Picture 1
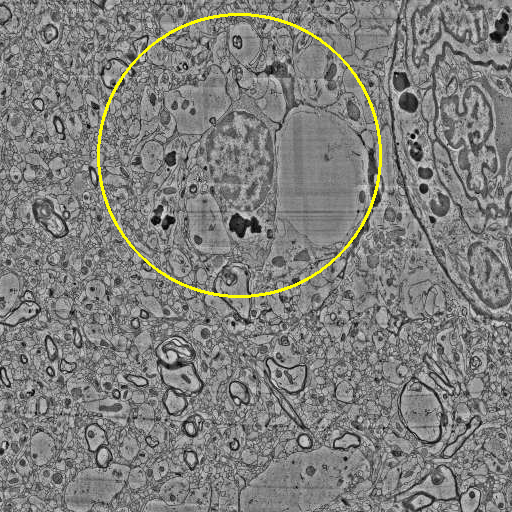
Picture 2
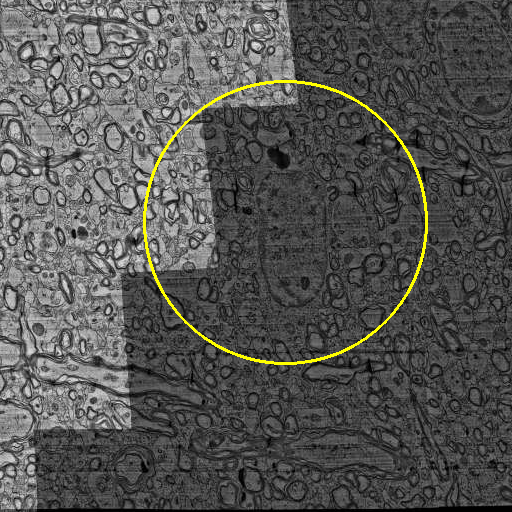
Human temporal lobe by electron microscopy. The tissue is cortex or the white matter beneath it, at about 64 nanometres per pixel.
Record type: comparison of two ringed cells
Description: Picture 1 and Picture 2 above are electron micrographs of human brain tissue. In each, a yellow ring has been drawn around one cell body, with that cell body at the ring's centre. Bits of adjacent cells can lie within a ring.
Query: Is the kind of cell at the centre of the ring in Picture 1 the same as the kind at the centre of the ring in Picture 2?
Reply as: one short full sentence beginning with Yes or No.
Yes, the two ringed cells are of the same kind.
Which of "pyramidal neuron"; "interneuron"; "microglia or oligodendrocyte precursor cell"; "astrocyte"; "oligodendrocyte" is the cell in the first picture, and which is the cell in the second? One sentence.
The cell in the first picture is an oligodendrocyte, and so is the one in the second.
